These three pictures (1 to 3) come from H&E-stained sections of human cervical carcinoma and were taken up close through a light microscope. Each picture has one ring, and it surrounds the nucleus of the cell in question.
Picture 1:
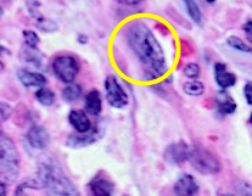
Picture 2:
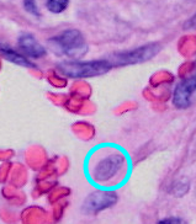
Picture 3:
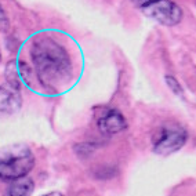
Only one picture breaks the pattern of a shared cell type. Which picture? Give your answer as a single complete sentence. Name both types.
Unlike the rest, which show endothelial cells, picture 3 shows a squamous carcinoma cell.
